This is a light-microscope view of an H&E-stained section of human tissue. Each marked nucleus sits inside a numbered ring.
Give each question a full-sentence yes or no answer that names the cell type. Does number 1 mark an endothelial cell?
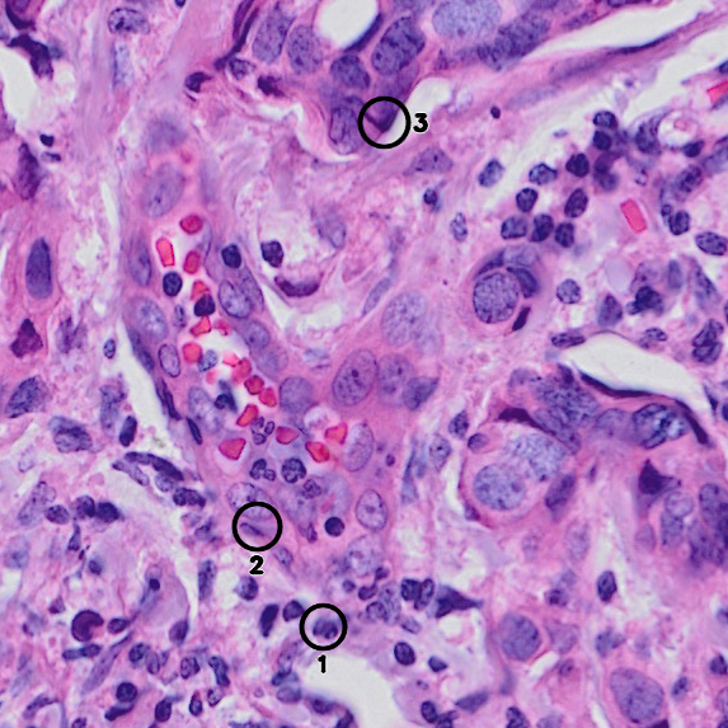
No, for cell 1, the correct identification is a lymphocyte instead of an endothelial cell.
